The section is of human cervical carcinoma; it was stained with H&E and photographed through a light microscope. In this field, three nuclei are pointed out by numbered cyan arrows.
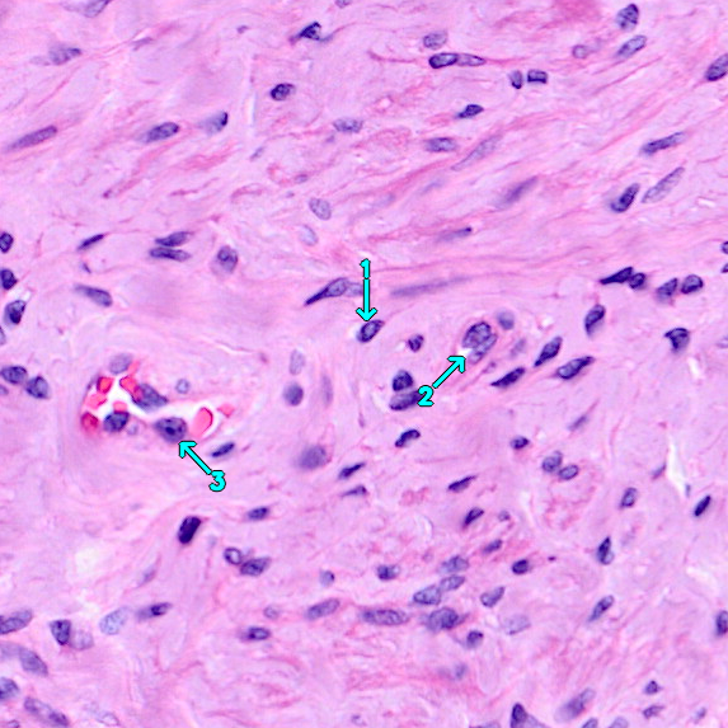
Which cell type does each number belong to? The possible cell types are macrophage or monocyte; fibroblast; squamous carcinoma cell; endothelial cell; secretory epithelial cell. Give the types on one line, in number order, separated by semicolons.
fibroblast; endothelial cell; endothelial cell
